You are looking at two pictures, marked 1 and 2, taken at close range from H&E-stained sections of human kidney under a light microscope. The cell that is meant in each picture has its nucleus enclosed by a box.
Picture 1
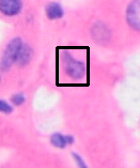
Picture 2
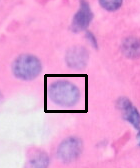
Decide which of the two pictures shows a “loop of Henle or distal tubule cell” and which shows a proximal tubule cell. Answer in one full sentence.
It is picture 1 that shows a proximal tubule cell, and picture 2 that shows a “loop of Henle or distal tubule cell”.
